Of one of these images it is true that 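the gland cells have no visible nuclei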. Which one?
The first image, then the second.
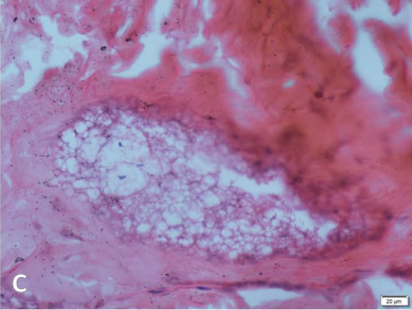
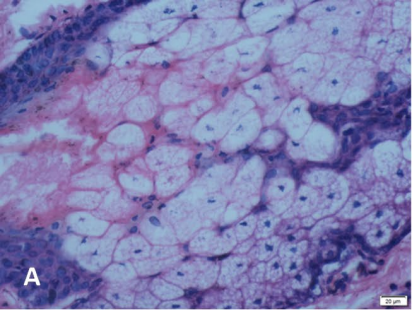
The first image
